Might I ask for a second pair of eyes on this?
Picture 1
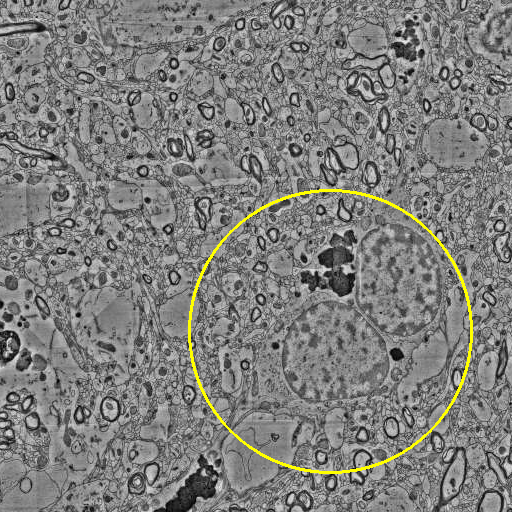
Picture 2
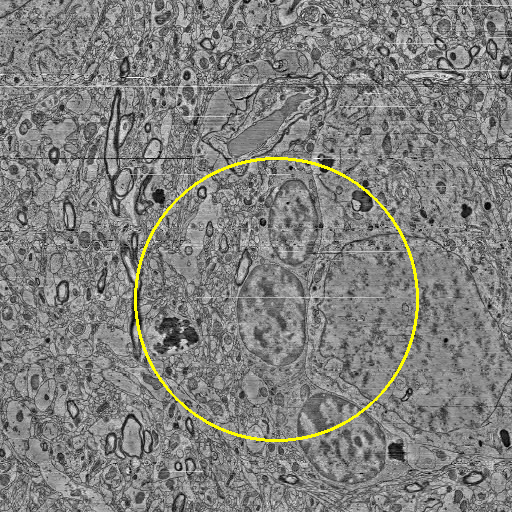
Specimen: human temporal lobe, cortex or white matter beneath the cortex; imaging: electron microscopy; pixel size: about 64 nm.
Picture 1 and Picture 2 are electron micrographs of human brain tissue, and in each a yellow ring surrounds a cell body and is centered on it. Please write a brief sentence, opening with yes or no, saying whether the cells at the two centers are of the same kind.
Yes, the cells are of the same kind.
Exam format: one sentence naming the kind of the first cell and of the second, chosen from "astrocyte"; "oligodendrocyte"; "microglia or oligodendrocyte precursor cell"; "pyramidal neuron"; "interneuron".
In each picture the ringed cell is an oligodendrocyte.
